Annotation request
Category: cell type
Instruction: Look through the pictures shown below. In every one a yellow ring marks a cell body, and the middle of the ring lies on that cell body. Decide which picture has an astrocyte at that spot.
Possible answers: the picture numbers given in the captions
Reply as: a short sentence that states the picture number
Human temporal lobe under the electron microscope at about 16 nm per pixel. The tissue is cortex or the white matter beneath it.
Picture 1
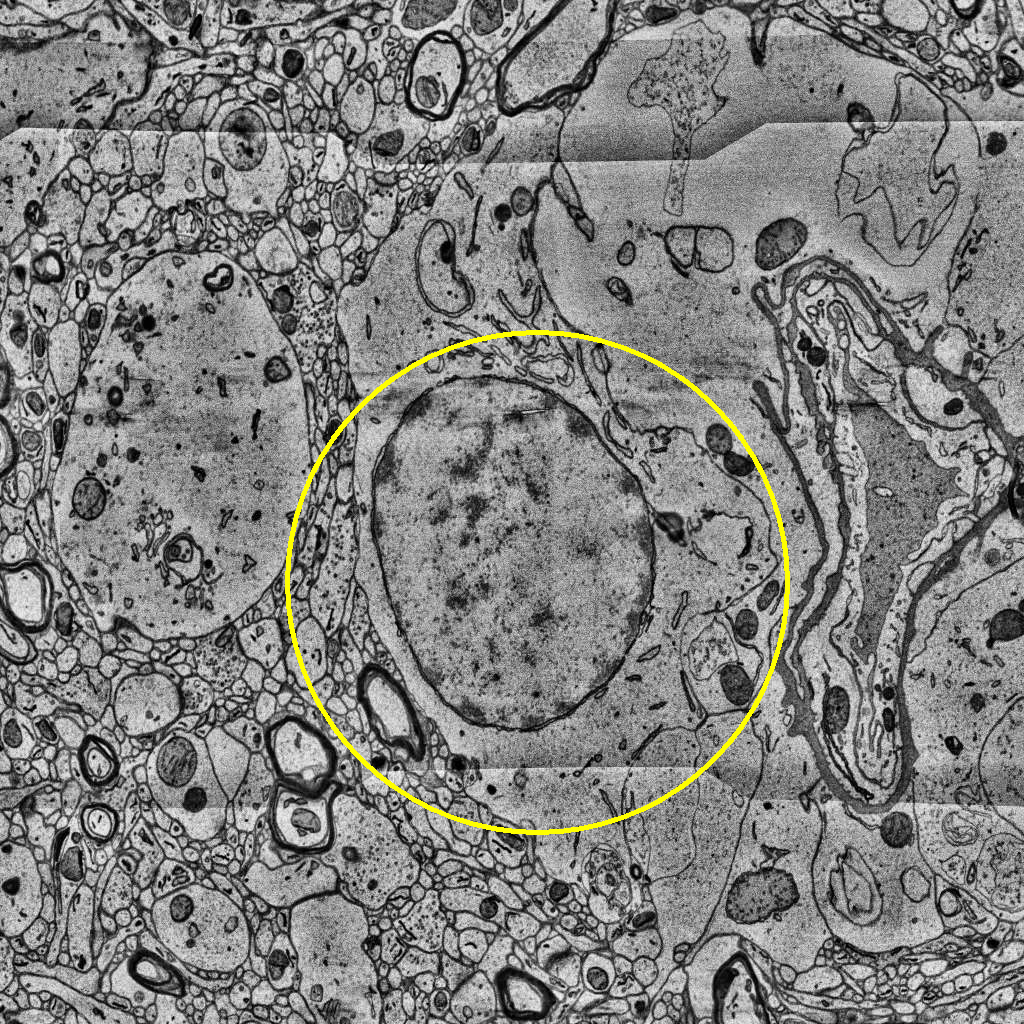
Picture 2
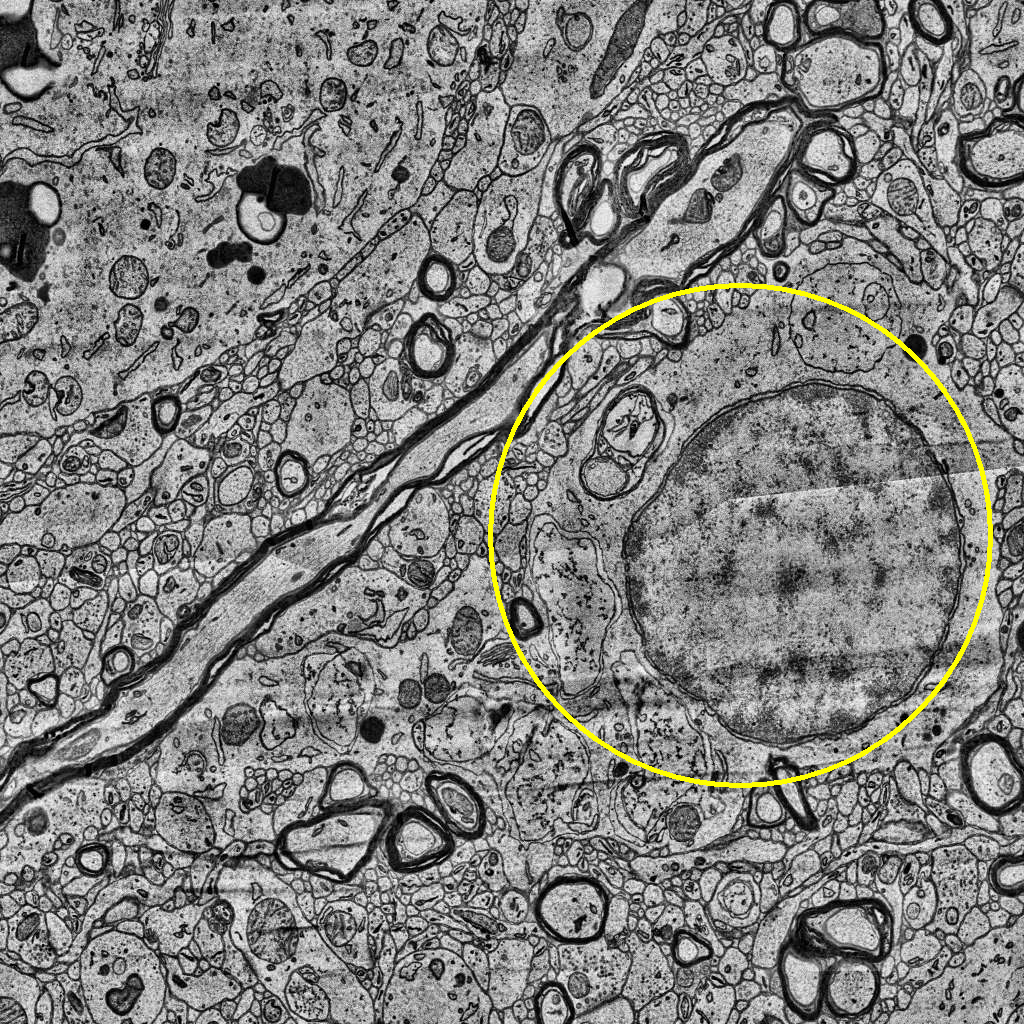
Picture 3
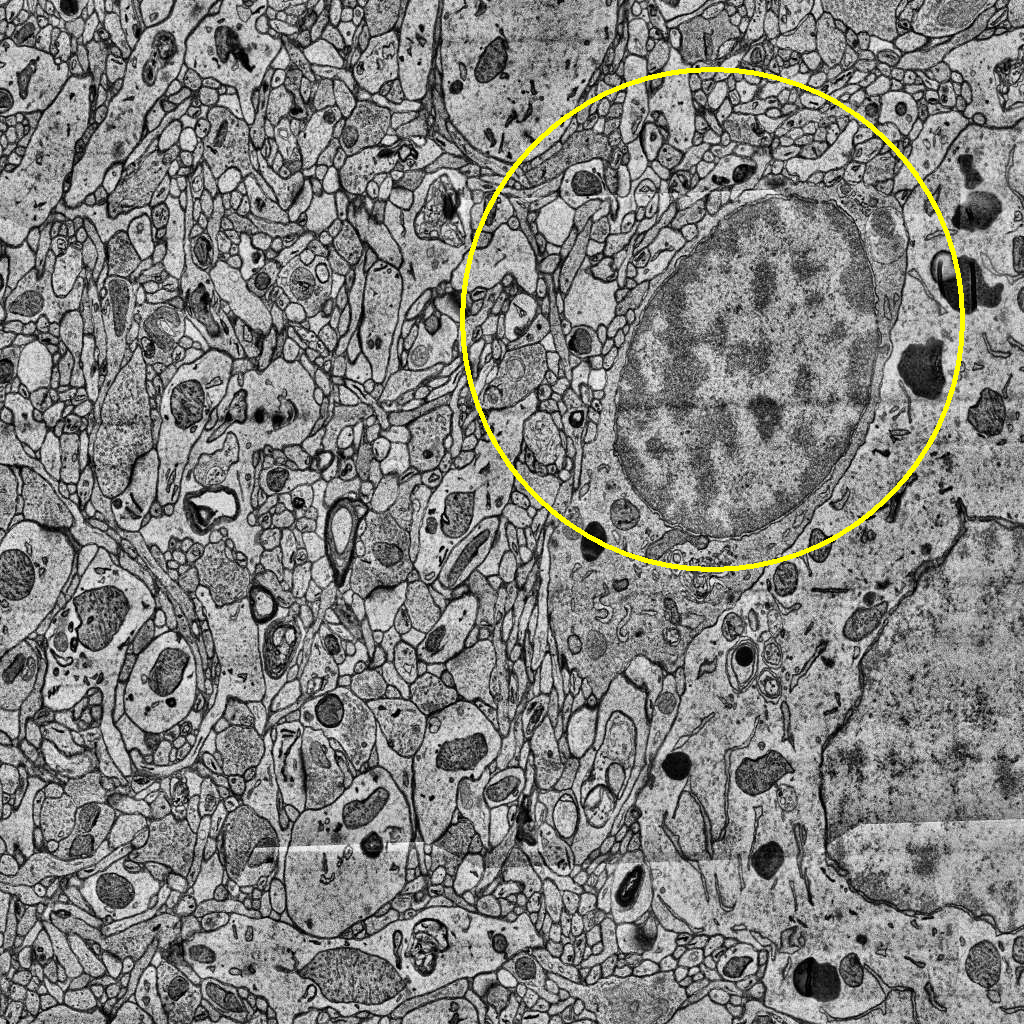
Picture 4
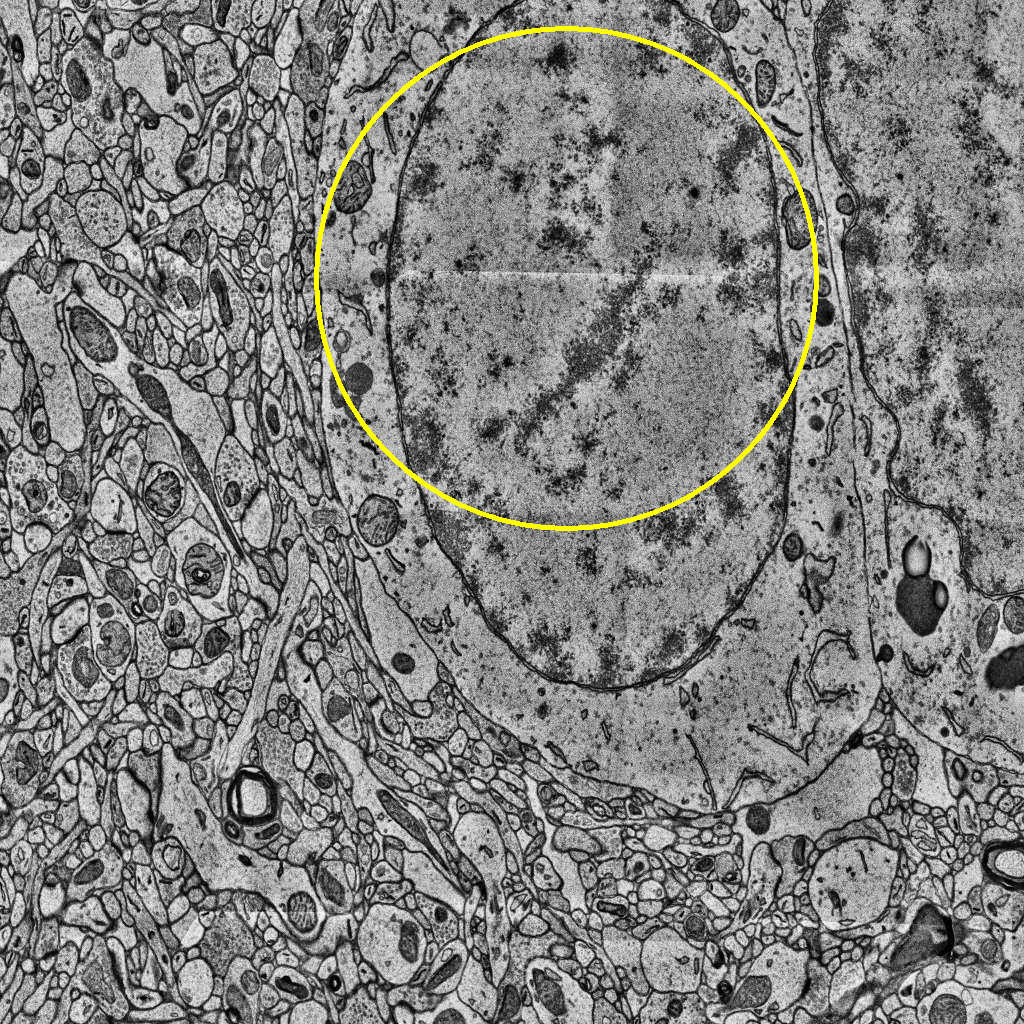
It is in Picture 2.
